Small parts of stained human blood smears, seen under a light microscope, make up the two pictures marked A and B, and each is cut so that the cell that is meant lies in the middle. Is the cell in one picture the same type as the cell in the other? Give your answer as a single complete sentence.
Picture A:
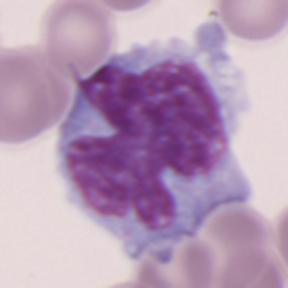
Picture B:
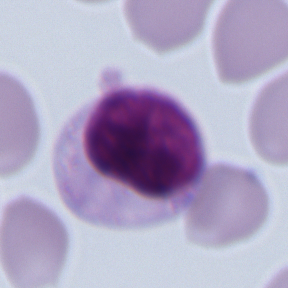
No, the types are not the same, since picture A shows a monocyte and picture B a large granular lymphocyte.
